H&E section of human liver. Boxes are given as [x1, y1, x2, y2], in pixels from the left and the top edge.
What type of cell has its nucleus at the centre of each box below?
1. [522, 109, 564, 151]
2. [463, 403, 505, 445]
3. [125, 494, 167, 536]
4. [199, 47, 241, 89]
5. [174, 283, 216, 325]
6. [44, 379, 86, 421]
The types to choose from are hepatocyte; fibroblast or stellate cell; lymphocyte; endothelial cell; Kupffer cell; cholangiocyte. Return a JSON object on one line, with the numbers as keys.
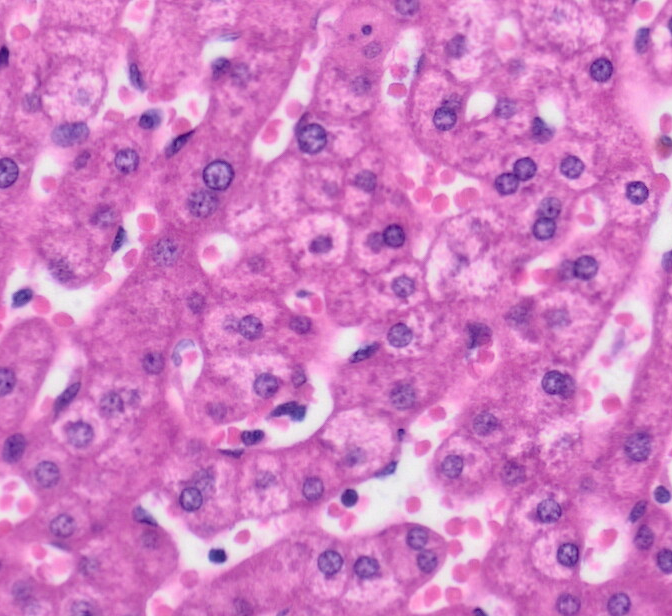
{"1": "endothelial cell", "2": "hepatocyte", "3": "endothelial cell", "4": "Kupffer cell", "5": "hepatocyte", "6": "Kupffer cell"}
